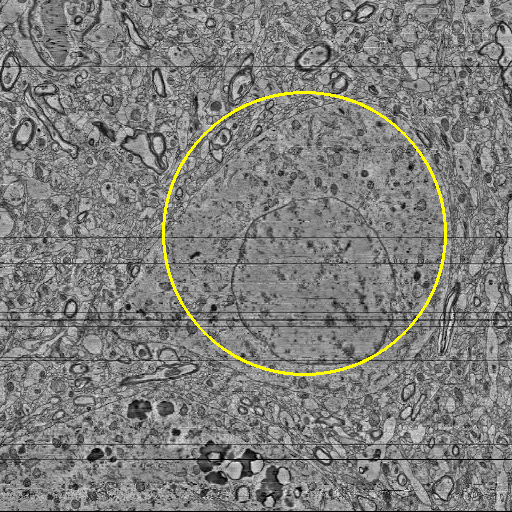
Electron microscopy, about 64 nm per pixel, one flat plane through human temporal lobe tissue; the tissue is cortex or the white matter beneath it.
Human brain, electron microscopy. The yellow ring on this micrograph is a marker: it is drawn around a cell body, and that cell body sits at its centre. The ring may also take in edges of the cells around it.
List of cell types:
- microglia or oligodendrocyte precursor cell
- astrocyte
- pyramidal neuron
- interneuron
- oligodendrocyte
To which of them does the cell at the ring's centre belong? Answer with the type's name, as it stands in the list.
pyramidal neuron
